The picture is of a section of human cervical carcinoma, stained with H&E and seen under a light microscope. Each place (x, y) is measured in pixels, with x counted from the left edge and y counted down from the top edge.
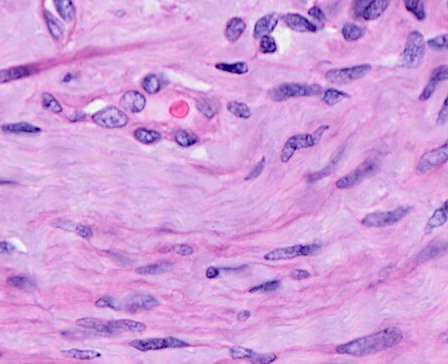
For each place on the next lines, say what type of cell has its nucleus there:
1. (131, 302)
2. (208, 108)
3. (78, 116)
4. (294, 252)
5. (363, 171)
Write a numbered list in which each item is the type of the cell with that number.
1. smooth muscle cell
2. endothelial cell
3. endothelial cell
4. smooth muscle cell
5. smooth muscle cell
